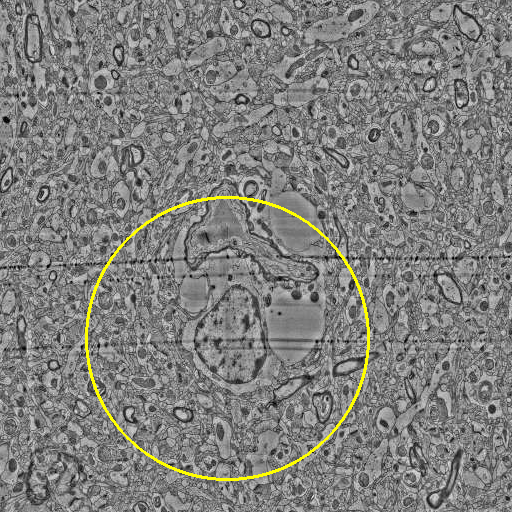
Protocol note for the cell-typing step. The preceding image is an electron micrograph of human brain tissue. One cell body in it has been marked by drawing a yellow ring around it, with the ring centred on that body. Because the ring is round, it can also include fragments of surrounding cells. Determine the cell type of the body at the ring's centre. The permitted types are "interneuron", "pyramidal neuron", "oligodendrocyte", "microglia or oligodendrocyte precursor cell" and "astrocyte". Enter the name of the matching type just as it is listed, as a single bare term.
microglia or oligodendrocyte precursor cell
